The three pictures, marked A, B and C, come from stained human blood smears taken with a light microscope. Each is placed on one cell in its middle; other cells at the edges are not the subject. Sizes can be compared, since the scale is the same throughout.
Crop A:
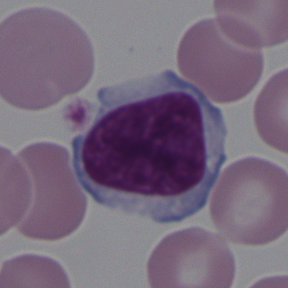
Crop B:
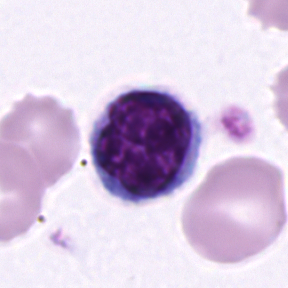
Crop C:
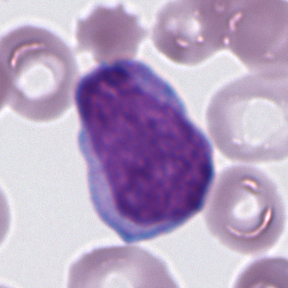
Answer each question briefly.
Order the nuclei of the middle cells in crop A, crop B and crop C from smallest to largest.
B, A, C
